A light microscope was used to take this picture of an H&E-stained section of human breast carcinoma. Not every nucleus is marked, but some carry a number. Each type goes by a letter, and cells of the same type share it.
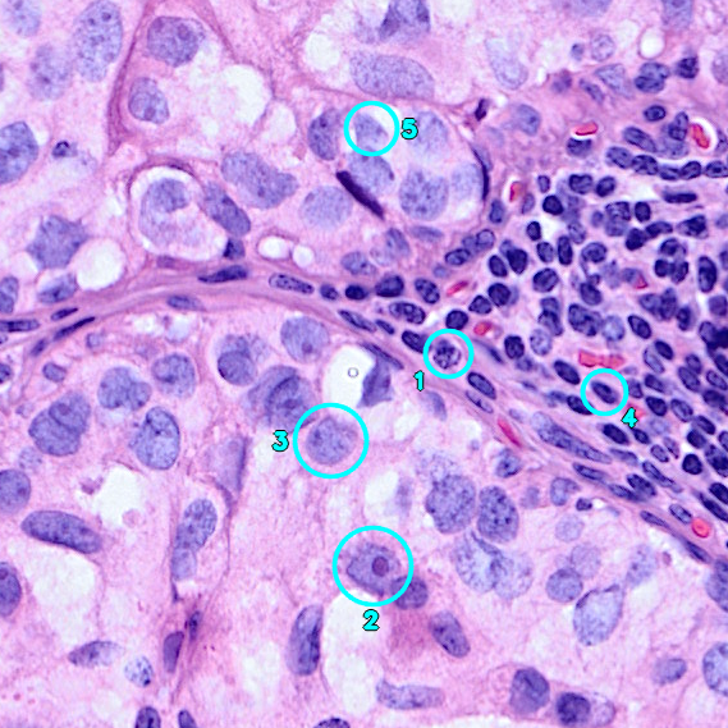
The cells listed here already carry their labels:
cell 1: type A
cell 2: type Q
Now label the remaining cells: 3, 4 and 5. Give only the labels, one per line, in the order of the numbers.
type Q
type A
type Q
